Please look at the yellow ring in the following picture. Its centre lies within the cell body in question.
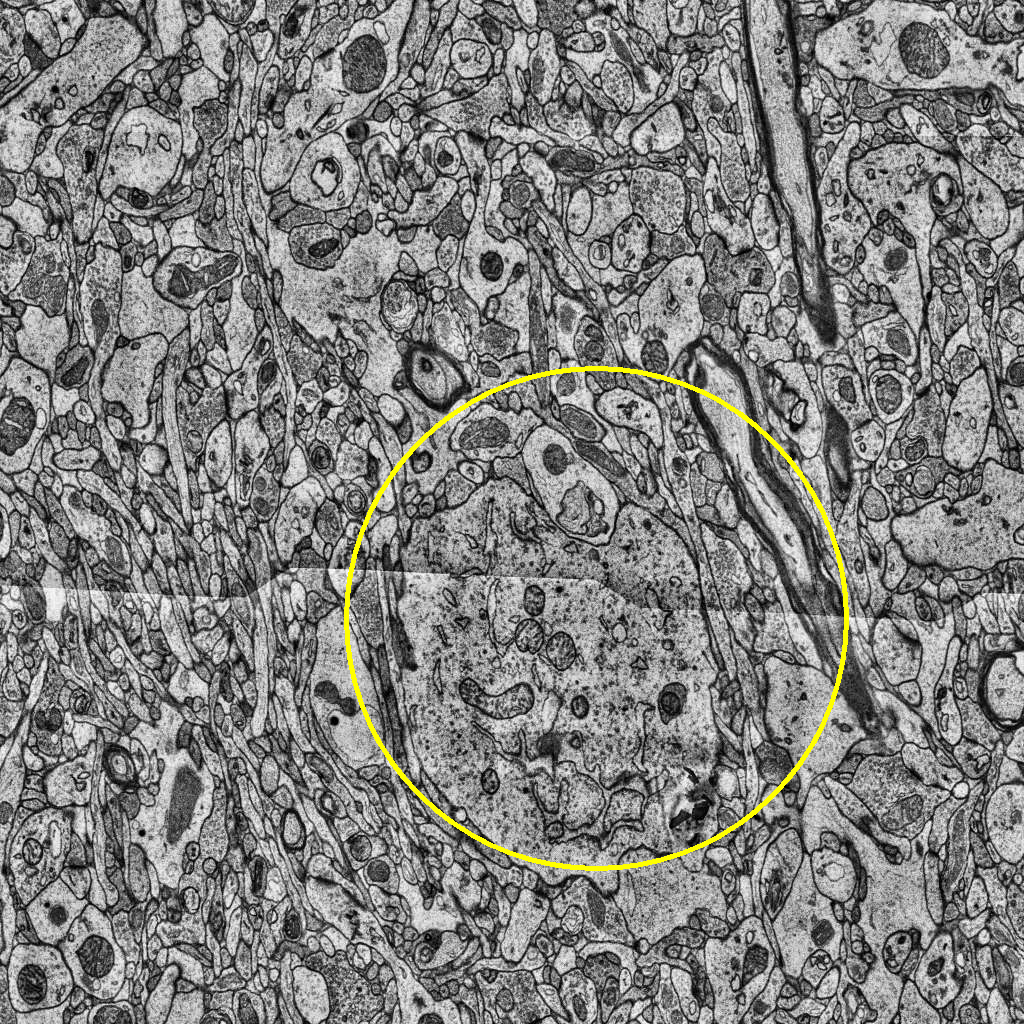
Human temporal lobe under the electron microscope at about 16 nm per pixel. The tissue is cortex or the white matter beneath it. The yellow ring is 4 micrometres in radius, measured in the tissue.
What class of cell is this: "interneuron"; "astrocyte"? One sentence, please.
The centre of the ring lies in the cell body of an interneuron.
